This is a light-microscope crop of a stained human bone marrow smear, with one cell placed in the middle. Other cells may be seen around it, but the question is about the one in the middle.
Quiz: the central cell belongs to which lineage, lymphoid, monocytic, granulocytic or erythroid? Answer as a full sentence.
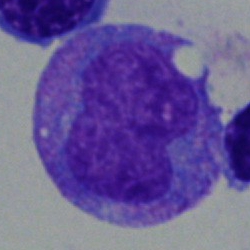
As for the middle cell, it is a member of the monocytic lineage.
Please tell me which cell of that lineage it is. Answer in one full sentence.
In the crop, the cell of interest at the centre is a monocyte.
